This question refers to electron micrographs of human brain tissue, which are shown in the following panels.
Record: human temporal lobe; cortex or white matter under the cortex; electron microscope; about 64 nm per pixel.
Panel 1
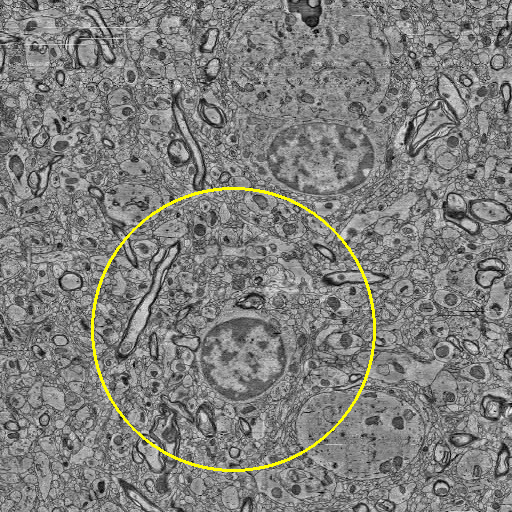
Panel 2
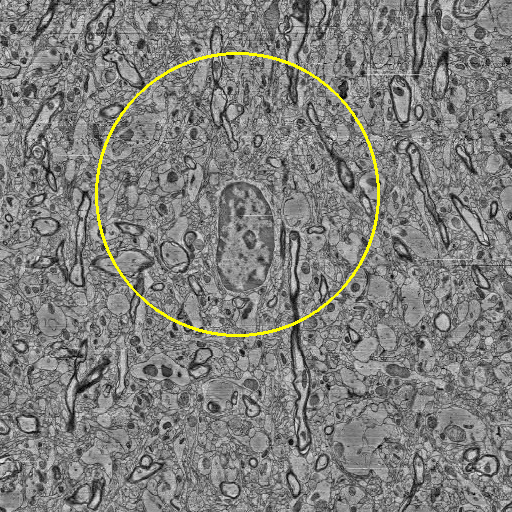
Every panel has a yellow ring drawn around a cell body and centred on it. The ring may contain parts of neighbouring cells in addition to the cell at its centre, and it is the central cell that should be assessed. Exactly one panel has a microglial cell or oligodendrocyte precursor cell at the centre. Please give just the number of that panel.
2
